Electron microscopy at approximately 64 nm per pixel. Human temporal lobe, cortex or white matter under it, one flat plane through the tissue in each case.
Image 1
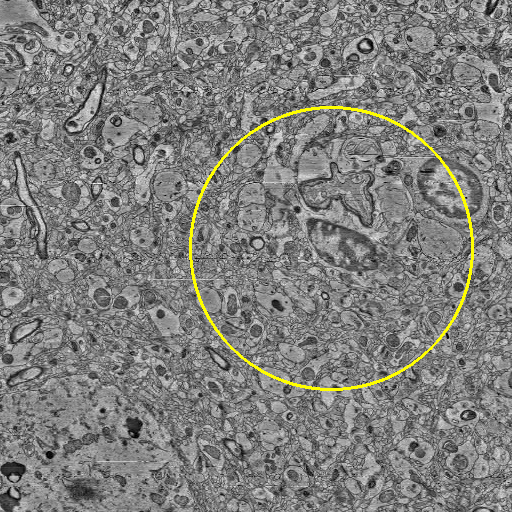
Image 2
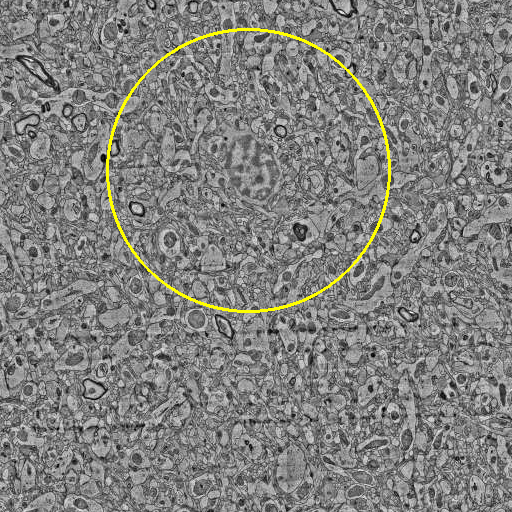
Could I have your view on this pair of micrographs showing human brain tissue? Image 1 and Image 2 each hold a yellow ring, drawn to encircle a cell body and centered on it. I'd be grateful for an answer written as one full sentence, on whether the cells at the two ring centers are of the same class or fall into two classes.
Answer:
The cells at the centers of the two rings fall into two classes.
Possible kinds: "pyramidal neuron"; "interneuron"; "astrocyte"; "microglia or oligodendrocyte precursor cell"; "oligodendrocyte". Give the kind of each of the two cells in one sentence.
The cell in the second picture is an oligodendrocyte, and that in the first is a microglial cell or oligodendrocyte precursor cell.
